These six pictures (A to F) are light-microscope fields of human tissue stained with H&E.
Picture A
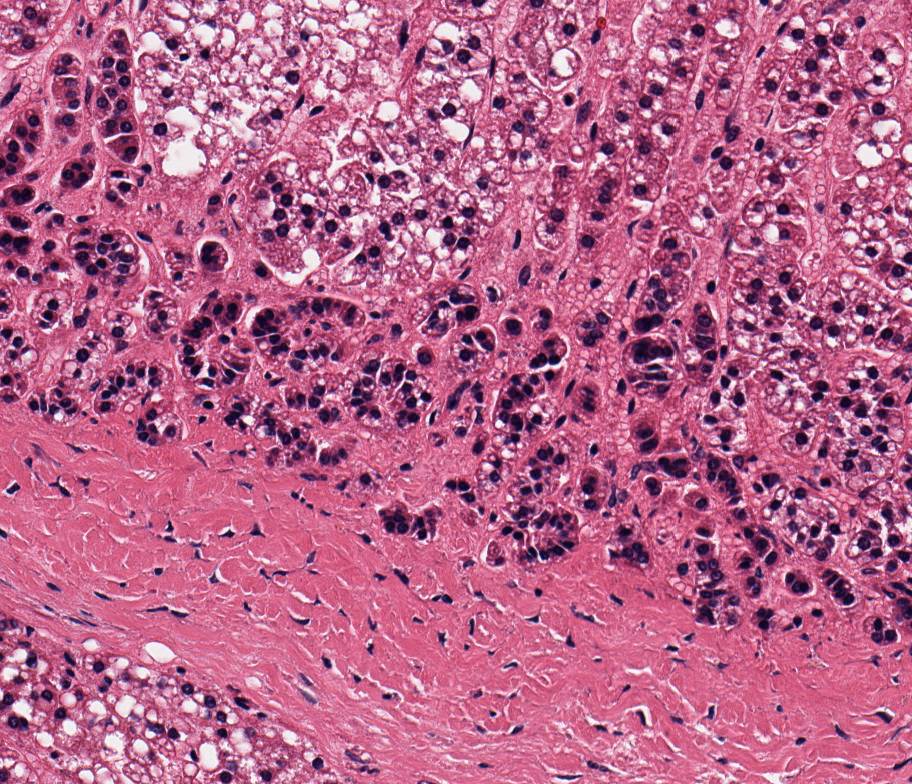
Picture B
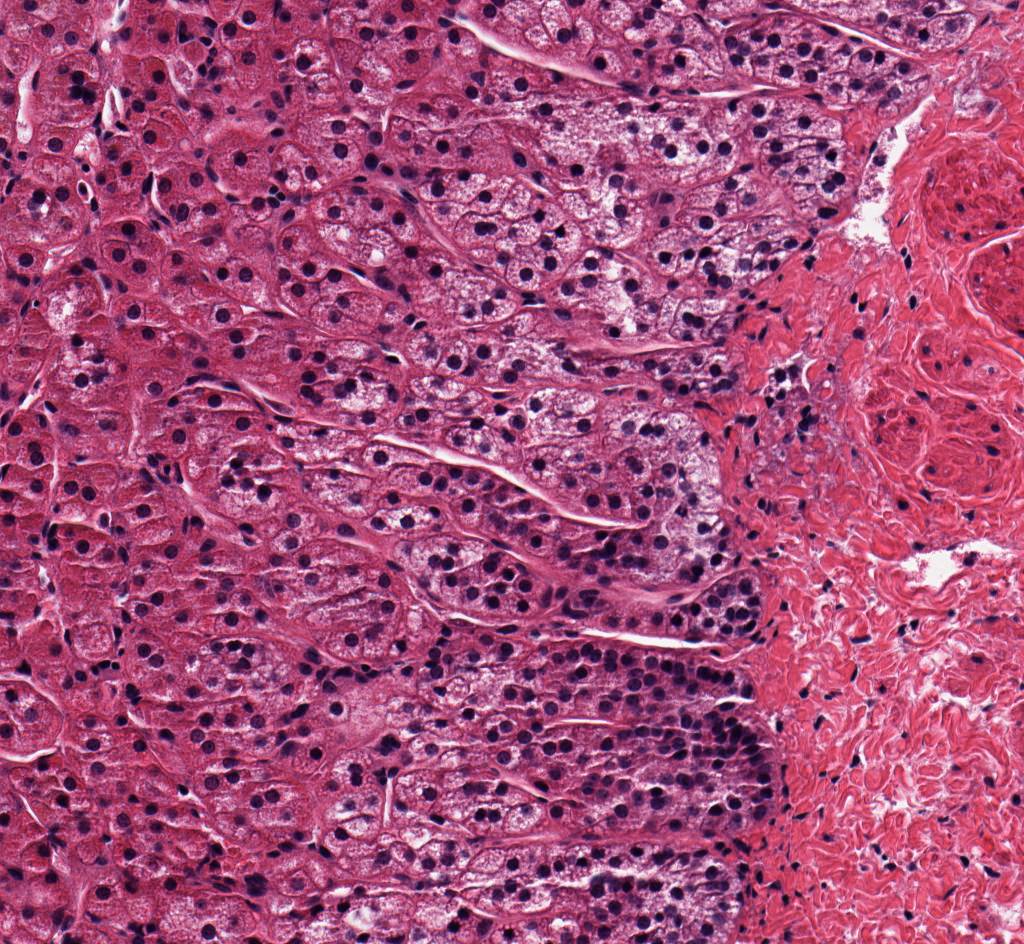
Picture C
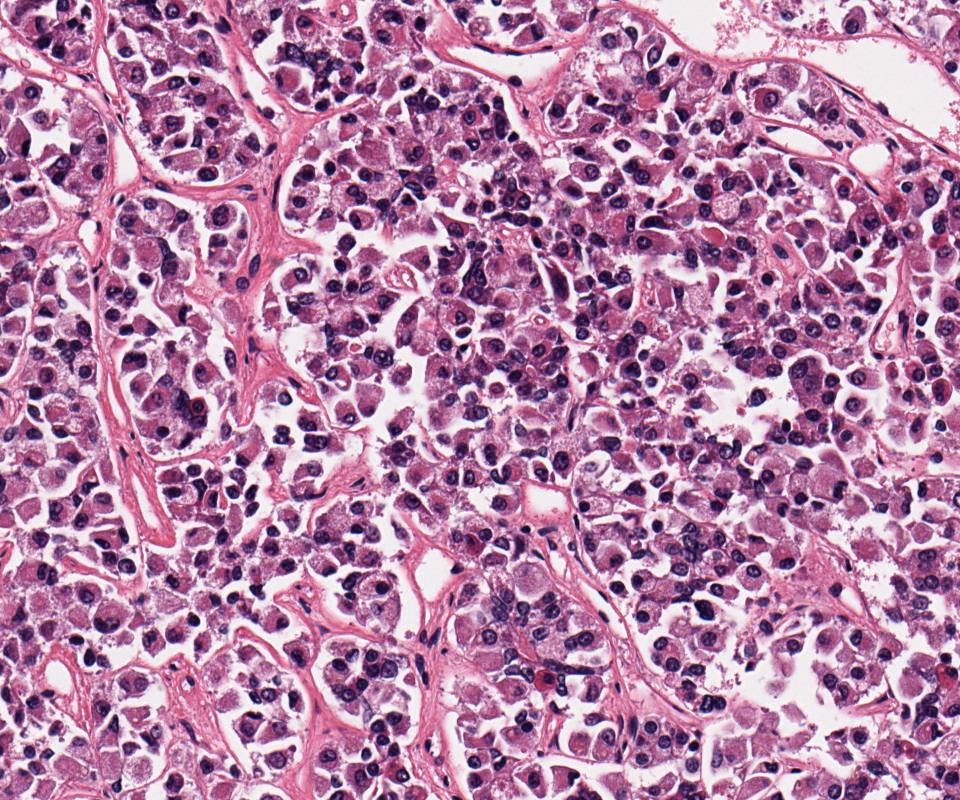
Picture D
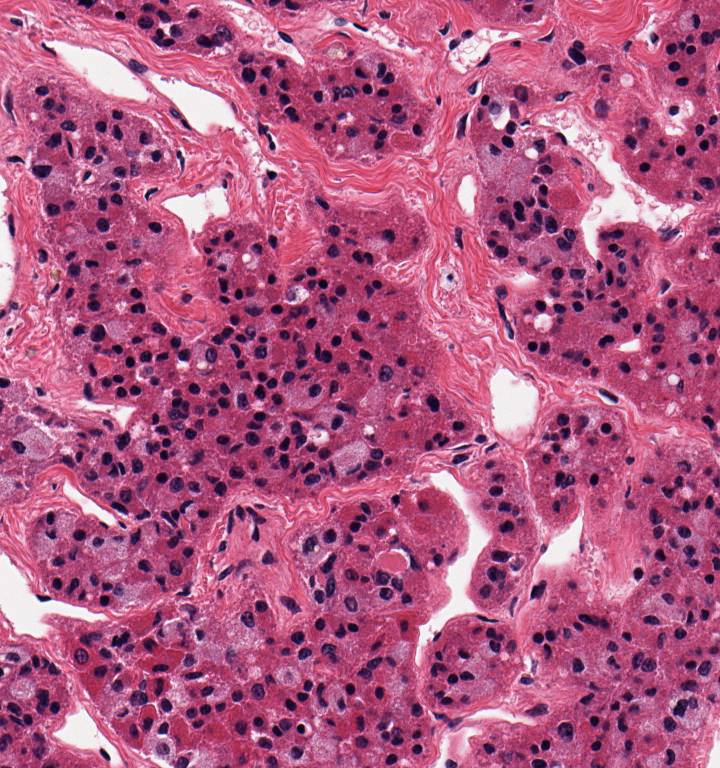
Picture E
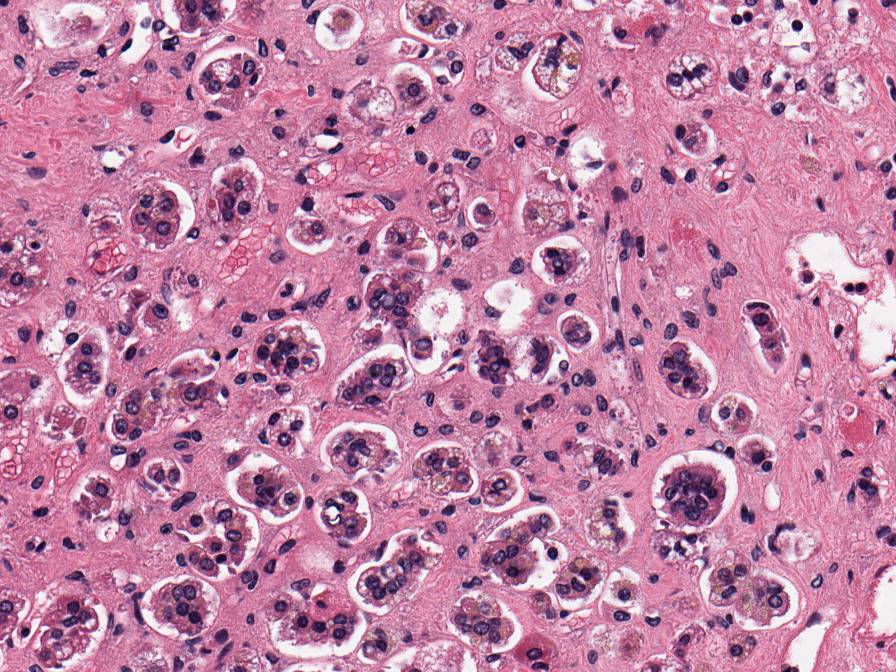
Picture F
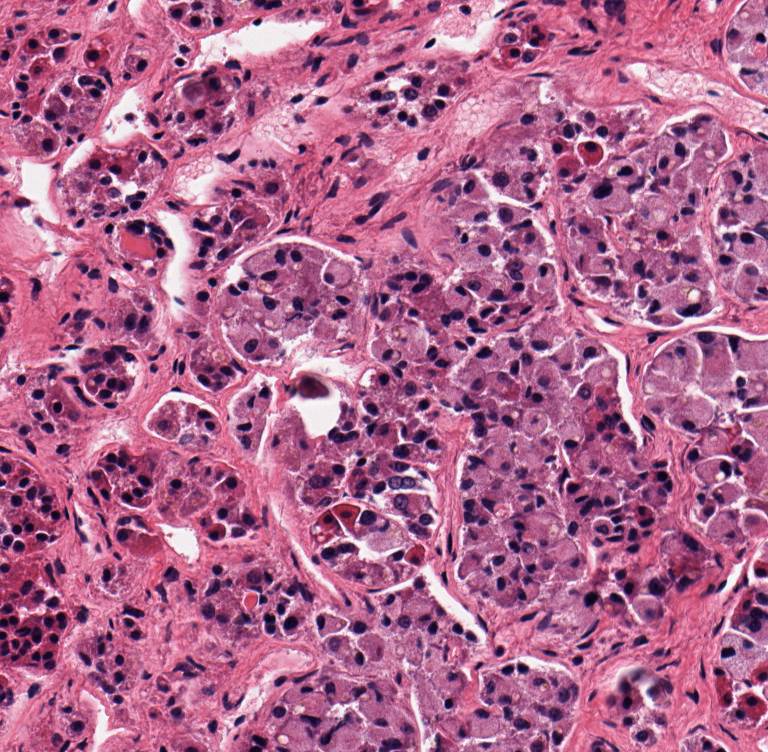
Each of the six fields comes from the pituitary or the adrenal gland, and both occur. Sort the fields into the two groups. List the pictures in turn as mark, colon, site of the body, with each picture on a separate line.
A: adrenal gland
B: adrenal gland
C: pituitary
D: pituitary
E: adrenal gland
F: pituitary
